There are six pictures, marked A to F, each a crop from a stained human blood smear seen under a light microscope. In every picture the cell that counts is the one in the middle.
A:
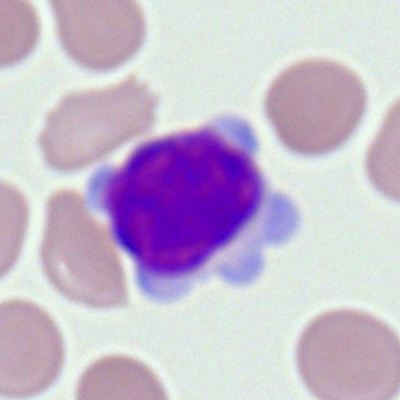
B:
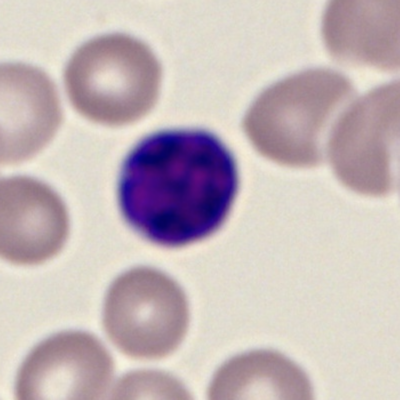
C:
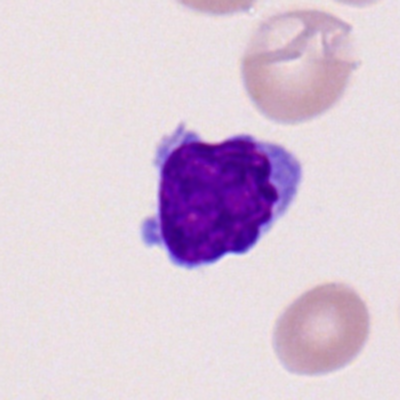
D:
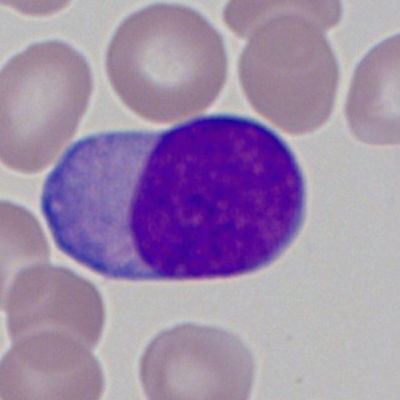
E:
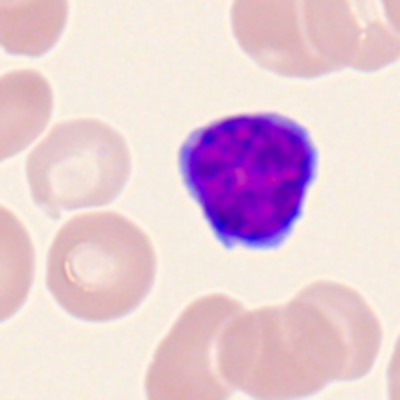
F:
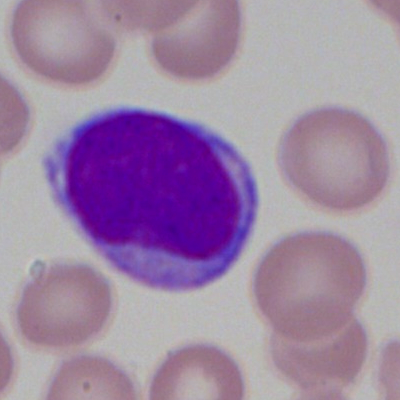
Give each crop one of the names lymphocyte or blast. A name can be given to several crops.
A: lymphocyte
B: lymphocyte
C: lymphocyte
D: blast
E: lymphocyte
F: blast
